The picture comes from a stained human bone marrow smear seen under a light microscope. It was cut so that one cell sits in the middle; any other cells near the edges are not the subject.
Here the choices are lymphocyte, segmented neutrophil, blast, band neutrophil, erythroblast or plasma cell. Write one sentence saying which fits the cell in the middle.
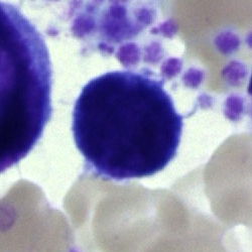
What sits at the centre of this crop is a lymphocyte.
